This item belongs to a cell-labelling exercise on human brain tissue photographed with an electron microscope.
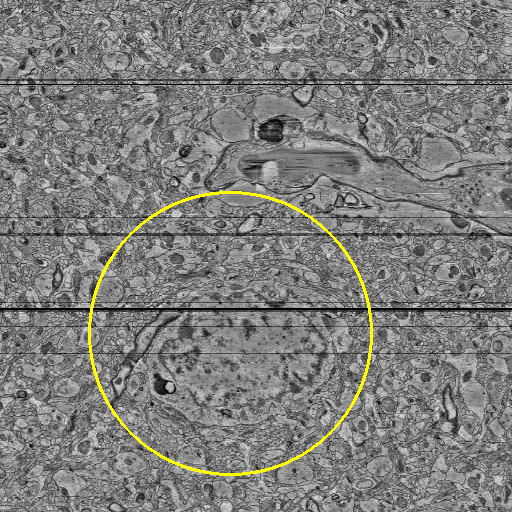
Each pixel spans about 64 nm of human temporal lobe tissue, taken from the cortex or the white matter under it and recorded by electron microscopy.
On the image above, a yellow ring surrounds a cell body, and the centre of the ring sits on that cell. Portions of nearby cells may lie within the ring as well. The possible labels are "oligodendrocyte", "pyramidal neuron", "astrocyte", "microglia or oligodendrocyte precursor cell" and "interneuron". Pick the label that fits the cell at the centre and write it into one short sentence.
This cell should be labelled as an interneuron.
